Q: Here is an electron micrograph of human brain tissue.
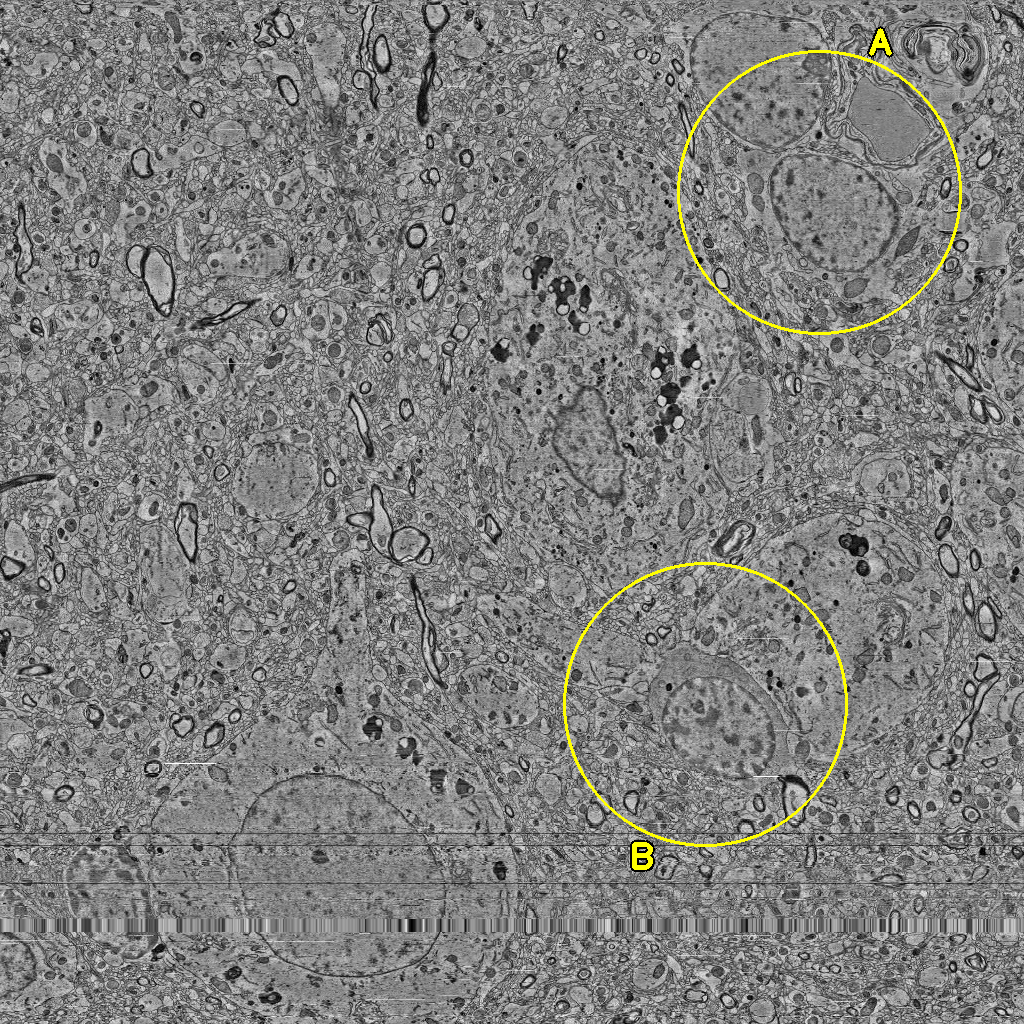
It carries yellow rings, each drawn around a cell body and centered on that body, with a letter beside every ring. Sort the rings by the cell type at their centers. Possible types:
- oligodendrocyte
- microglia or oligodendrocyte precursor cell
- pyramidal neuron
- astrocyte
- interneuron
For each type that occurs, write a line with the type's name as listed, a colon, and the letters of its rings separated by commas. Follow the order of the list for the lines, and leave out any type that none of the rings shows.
oligodendrocyte: B
microglia or oligodendrocyte precursor cell: A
